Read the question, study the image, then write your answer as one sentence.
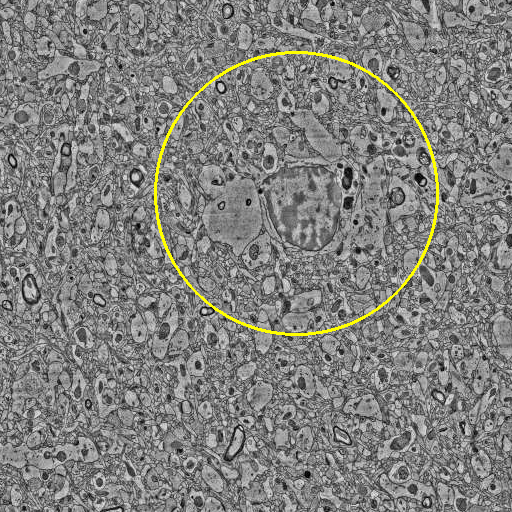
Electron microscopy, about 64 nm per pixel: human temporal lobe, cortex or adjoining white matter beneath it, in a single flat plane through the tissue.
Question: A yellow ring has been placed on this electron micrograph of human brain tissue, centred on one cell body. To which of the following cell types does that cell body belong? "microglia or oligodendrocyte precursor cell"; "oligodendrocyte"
That cell body belongs to a microglial cell or oligodendrocyte precursor cell.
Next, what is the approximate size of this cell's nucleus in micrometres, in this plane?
The ringed cell's nucleus is about 5 micrometres across in this plane.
